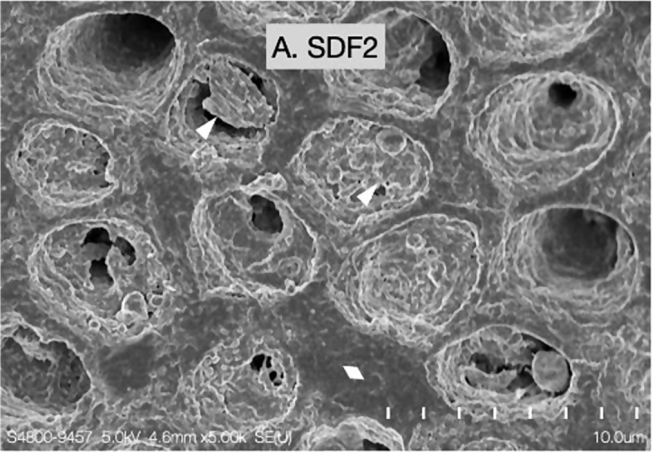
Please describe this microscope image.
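This scanning electron micrograph shows the surface of dentin, with dentinal tubule openings seen end-on. Each opening is ringed by a raised collar with concentric ridged texture. Many tubules are partly or almost completely filled with granular and globular deposits, which leave only small dark gaps. Some other tubules remain more open. Between the tubules, the intertubular surface is covered by a smoother continuous layer.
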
